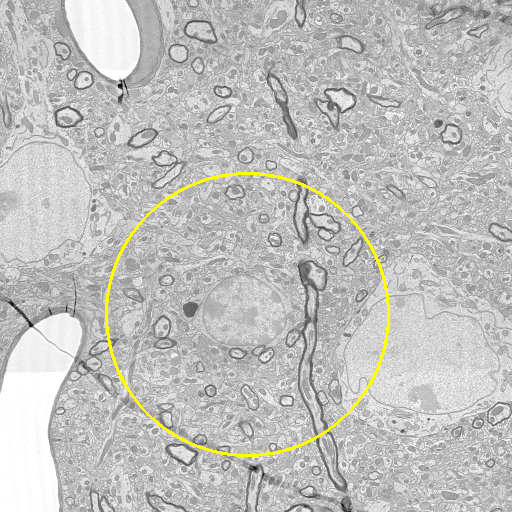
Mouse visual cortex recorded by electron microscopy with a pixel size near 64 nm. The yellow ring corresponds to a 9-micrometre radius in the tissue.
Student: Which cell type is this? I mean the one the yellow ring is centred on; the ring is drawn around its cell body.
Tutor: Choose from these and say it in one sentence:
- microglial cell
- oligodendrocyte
The cell the ring is centred on is an oligodendrocyte.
